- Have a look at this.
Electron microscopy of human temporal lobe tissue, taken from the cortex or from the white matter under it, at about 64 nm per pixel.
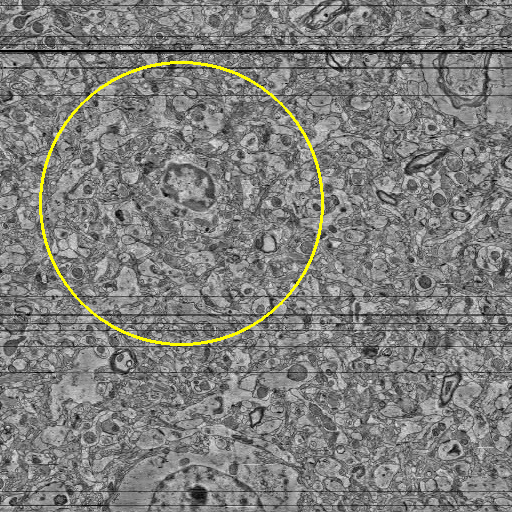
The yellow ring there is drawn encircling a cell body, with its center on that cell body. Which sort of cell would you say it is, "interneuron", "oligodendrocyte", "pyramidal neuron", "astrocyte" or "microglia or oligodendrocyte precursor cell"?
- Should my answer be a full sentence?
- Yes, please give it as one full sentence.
For this picture, a microglial cell or oligodendrocyte precursor cell is the cell where the yellow ring has its center.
